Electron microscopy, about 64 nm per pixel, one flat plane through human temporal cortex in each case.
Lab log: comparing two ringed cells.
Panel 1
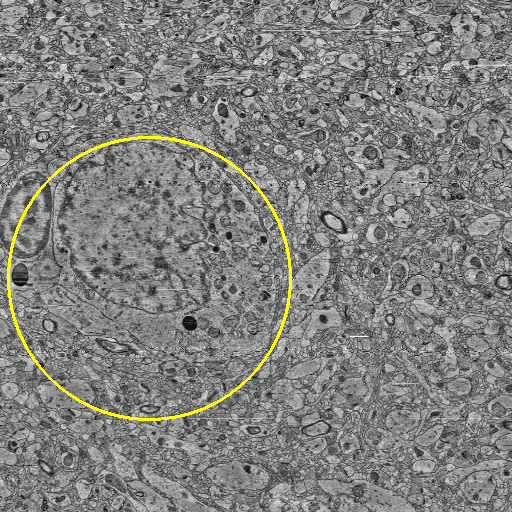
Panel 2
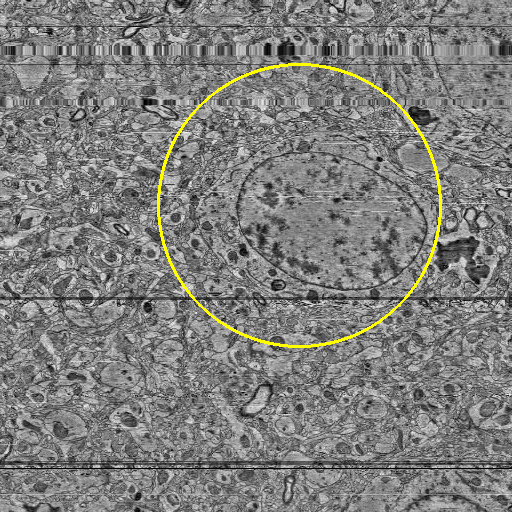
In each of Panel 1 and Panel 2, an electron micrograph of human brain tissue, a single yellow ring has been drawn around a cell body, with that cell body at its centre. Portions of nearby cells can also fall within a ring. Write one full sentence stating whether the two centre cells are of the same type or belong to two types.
The cells at the ring centres in Panel 1 and Panel 2 belong to two types.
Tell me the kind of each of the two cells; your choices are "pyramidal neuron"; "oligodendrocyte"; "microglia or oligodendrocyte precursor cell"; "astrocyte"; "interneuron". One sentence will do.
The ringed cell is an interneuron in the first picture and a pyramidal neuron in the second picture.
